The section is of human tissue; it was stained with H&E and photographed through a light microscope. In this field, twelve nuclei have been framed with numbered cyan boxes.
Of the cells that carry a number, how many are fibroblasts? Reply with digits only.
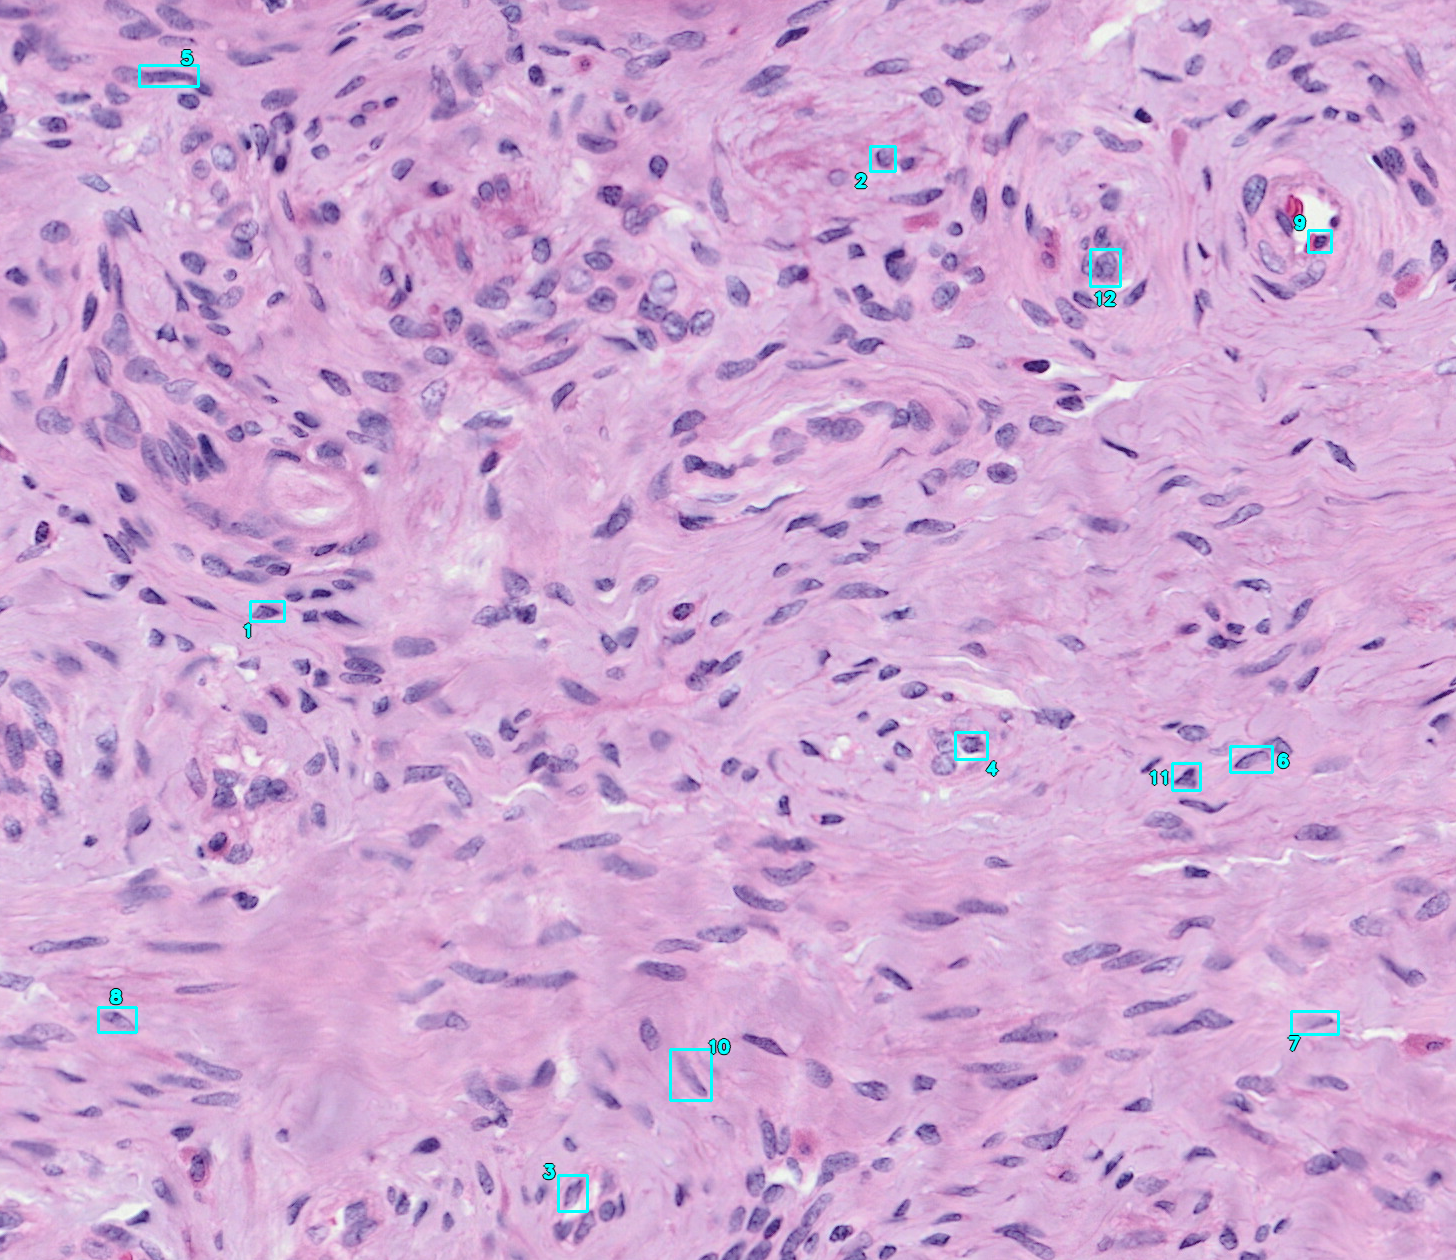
7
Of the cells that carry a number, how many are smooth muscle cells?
1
